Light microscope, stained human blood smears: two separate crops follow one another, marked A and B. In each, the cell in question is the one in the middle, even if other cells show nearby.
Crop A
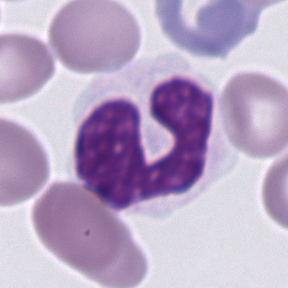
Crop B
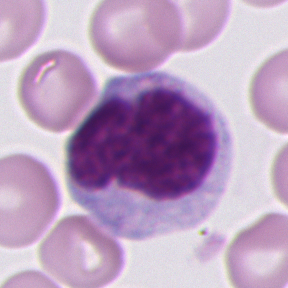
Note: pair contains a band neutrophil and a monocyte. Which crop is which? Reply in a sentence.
Crop A should be reported as a band neutrophil, and crop B as a monocyte.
